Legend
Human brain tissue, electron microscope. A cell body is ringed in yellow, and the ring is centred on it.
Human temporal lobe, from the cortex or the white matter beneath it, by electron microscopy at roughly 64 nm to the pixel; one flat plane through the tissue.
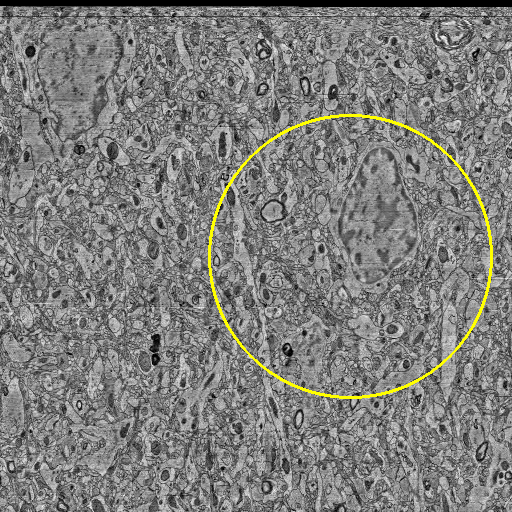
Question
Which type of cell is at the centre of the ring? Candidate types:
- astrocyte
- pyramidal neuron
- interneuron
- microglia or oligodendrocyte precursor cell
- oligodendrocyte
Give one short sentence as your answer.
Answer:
The yellow ring is centred here on a microglial cell or oligodendrocyte precursor cell.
